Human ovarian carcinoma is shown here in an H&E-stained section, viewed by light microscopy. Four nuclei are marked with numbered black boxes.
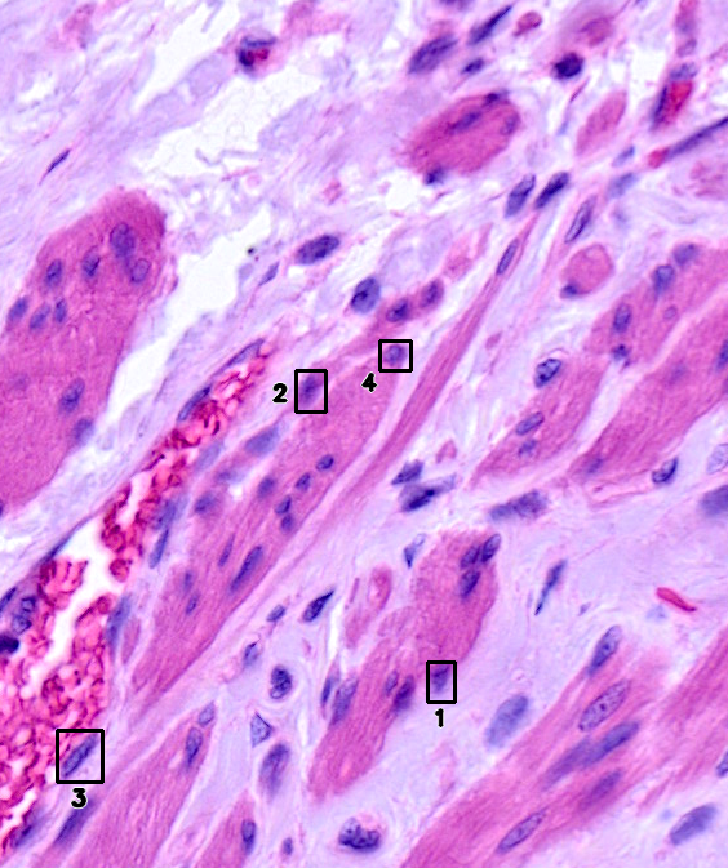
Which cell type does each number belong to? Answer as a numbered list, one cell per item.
1. smooth muscle cell
2. smooth muscle cell
3. endothelial cell
4. smooth muscle cell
